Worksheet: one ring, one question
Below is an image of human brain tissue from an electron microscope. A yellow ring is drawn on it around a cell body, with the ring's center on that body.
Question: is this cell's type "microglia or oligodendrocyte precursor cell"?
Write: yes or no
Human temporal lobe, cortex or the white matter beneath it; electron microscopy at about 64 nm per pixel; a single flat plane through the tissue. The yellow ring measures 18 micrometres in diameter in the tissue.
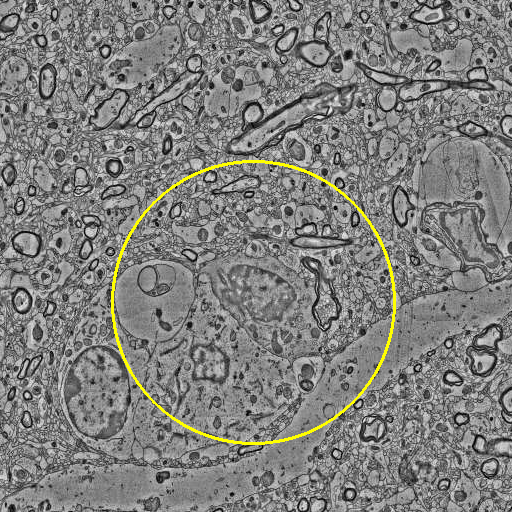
no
